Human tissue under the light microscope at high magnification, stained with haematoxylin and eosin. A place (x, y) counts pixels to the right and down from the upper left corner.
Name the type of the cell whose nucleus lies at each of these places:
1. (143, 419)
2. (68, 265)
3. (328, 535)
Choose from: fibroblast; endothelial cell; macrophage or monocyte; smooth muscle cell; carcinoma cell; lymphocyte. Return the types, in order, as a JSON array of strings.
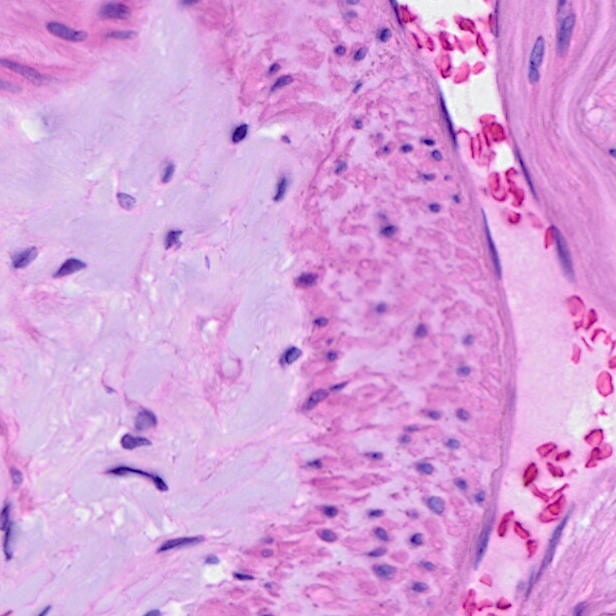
["fibroblast", "fibroblast", "smooth muscle cell"]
